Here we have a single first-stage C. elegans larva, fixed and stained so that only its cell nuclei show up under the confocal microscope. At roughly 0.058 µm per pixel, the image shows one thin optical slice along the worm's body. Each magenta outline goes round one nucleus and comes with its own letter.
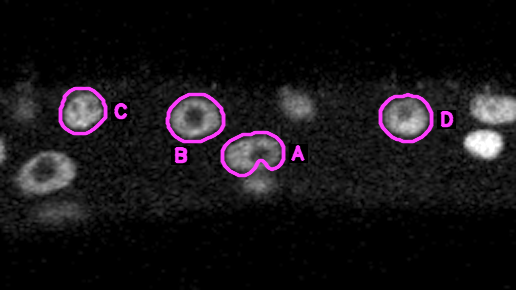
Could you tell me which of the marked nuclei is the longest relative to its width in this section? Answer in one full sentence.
Of the marked nuclei, A is the most stretched out.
